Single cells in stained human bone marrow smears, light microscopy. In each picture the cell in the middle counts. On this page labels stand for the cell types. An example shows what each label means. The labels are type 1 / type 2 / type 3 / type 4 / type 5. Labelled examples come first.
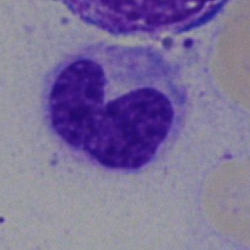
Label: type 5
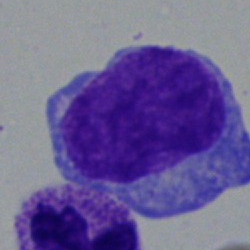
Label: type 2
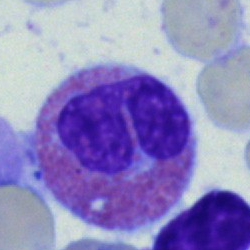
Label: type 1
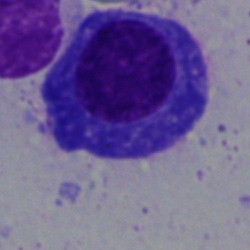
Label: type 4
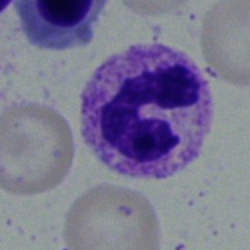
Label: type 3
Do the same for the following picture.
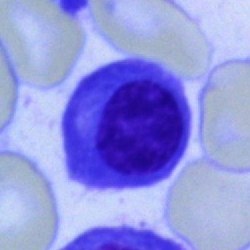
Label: type 4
